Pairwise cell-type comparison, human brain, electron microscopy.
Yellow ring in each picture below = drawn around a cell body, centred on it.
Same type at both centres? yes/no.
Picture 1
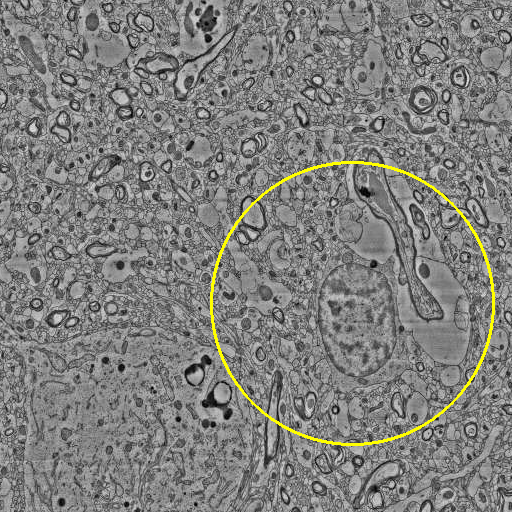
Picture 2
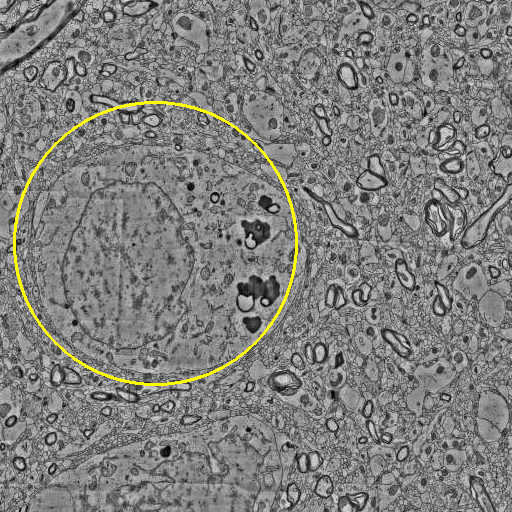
no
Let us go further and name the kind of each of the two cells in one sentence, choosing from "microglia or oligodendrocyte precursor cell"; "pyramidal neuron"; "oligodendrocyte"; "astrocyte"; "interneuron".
The ring of the first picture is on an oligodendrocyte, the ring of the second on a pyramidal neuron.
